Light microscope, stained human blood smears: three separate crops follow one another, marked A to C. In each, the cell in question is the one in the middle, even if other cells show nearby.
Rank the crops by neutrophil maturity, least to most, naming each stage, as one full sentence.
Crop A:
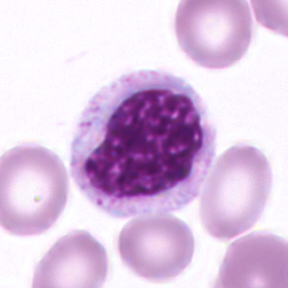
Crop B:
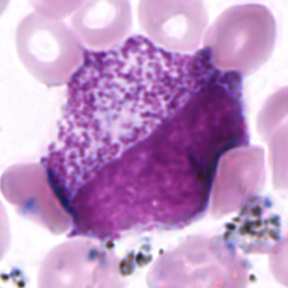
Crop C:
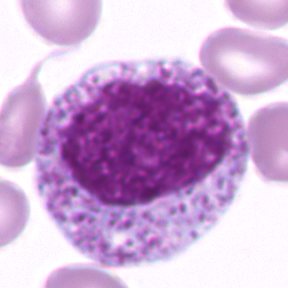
By maturity, starting with the least mature, the order is crop B (a promyelocyte), crop C (a myelocyte) and crop A (a metamyelocyte).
